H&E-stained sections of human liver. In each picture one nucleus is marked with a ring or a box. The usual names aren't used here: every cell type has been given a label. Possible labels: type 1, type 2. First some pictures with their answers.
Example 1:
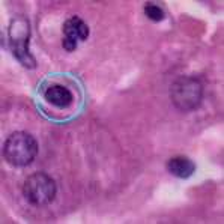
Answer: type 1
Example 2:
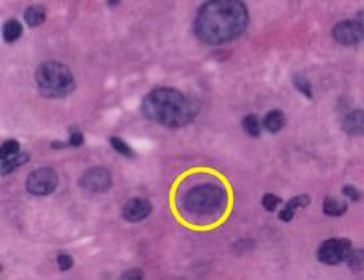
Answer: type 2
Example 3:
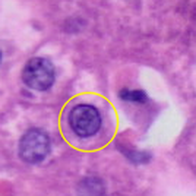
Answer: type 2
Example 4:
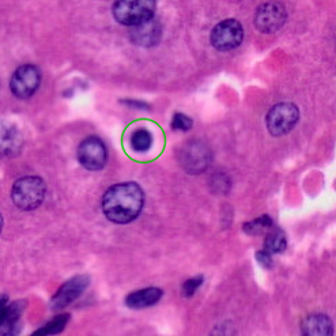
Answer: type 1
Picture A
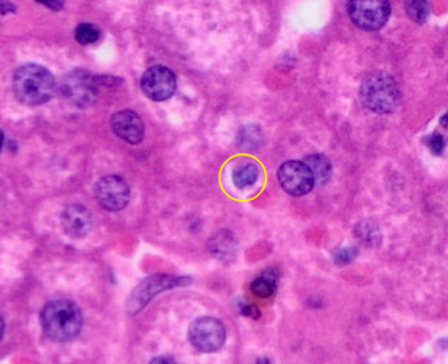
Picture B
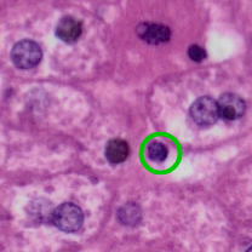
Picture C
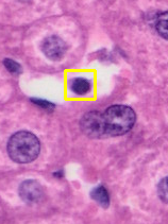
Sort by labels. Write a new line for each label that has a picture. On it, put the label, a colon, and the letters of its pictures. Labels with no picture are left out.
type 1: A, B, C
